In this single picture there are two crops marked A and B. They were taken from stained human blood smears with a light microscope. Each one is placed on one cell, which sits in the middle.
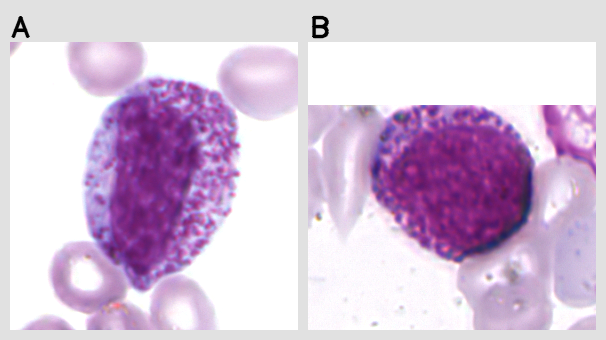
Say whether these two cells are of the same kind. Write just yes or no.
yes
